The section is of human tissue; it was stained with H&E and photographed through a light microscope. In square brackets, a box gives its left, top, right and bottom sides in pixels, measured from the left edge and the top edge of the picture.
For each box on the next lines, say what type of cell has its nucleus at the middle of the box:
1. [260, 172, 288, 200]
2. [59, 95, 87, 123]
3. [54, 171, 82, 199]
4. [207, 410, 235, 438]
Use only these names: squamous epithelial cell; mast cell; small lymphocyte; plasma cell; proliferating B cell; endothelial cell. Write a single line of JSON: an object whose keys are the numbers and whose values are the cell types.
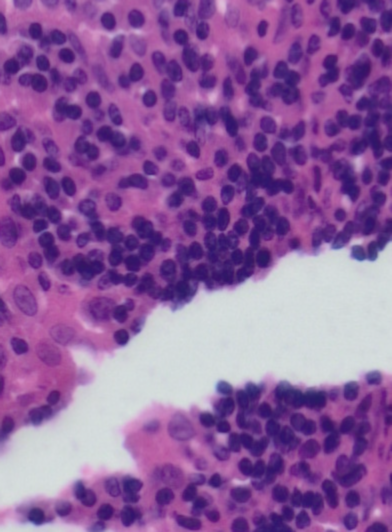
{"1": "small lymphocyte", "2": "plasma cell", "3": "plasma cell", "4": "small lymphocyte"}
